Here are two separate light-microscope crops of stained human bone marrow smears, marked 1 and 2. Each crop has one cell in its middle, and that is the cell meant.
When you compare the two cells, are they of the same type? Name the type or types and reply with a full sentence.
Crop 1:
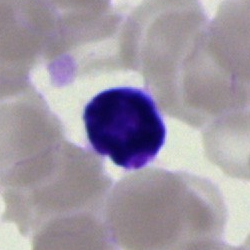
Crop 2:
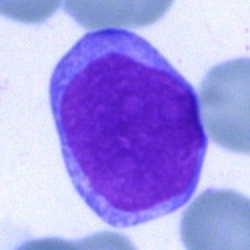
No, cell 1 is a lymphocyte, and cell 2 is a blast.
